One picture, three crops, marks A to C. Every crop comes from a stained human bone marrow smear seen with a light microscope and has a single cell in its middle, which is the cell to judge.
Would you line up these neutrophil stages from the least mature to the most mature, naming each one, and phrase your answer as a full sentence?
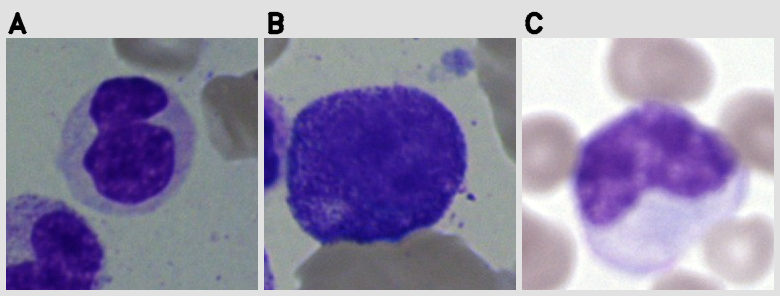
Arranged from least mature to most mature, the sequence reads crop B (a promyelocyte), crop C (a metamyelocyte) and crop A (a band neutrophil).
